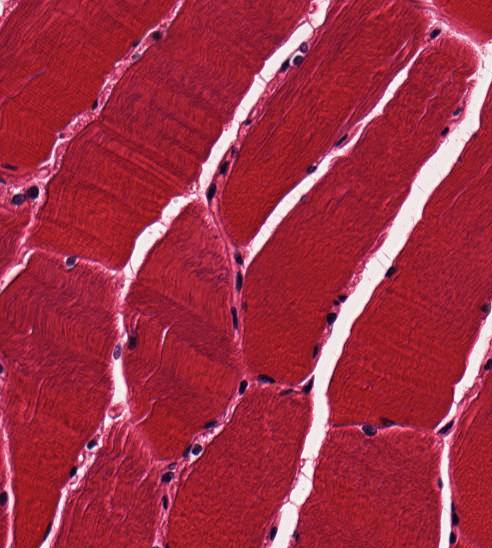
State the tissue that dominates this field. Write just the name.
skeletal muscle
